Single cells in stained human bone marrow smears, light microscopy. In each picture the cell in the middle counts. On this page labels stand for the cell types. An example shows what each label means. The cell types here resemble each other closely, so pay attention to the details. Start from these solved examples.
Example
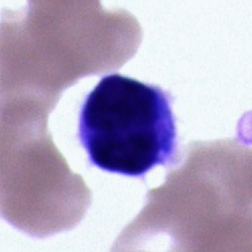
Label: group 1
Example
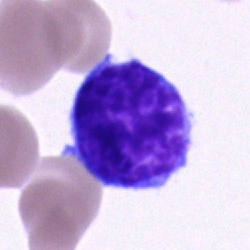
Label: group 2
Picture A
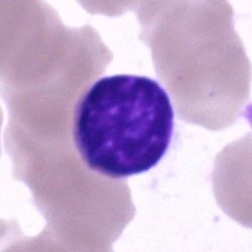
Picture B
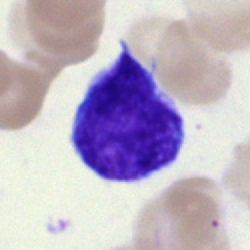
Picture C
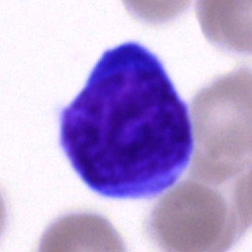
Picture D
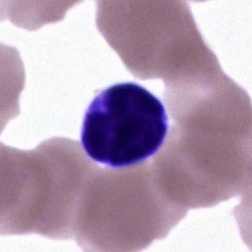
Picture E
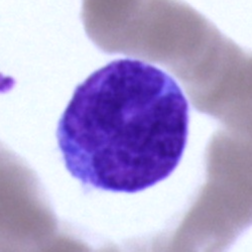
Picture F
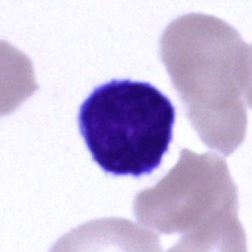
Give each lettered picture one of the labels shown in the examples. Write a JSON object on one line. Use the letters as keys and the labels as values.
{"A": "group 1", "B": "group 2", "C": "group 2", "D": "group 1", "E": "group 2", "F": "group 1"}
